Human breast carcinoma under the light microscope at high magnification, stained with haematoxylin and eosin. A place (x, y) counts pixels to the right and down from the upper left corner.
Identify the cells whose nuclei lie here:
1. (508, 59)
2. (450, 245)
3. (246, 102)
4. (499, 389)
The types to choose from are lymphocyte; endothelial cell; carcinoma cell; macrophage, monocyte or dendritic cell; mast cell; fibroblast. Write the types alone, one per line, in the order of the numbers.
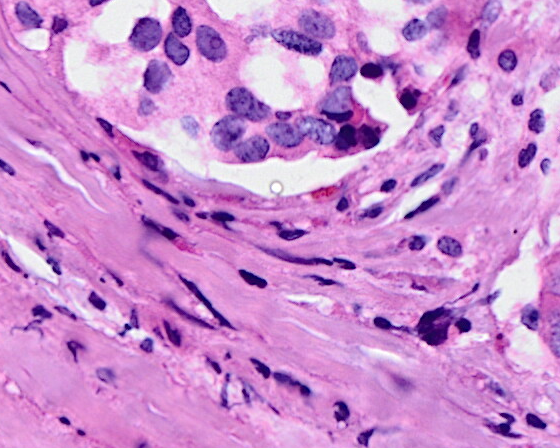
mast cell
mast cell
carcinoma cell
fibroblast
